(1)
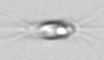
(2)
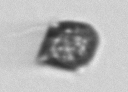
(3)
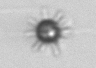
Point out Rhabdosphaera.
That is picture 3.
